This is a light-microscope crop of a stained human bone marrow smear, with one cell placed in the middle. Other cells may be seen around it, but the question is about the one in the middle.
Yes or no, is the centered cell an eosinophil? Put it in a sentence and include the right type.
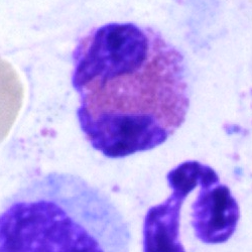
Yes, in the centre of this field sits an eosinophil.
